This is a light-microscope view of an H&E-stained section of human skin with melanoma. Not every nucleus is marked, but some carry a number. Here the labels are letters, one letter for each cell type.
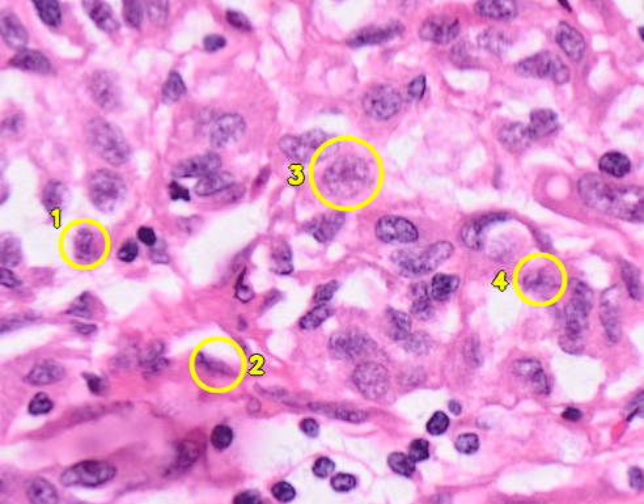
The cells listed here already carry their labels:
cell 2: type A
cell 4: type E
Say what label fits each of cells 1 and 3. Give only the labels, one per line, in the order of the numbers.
type E
type E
